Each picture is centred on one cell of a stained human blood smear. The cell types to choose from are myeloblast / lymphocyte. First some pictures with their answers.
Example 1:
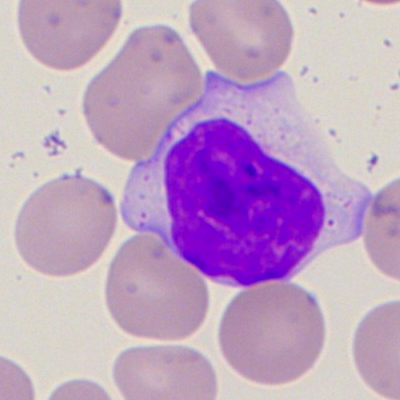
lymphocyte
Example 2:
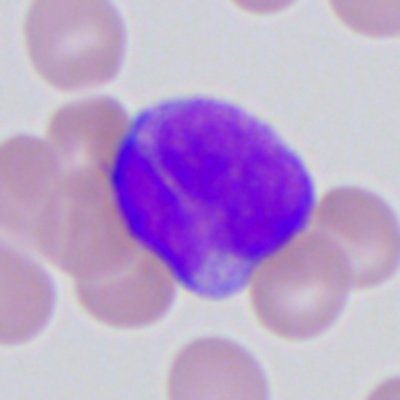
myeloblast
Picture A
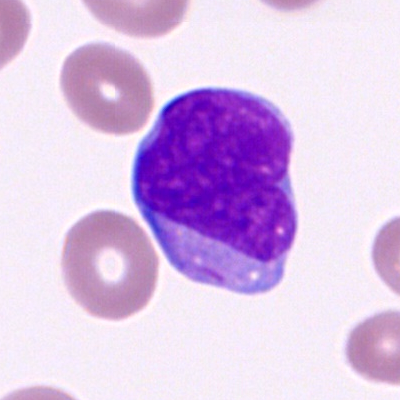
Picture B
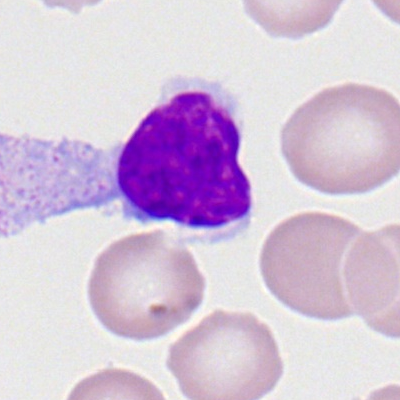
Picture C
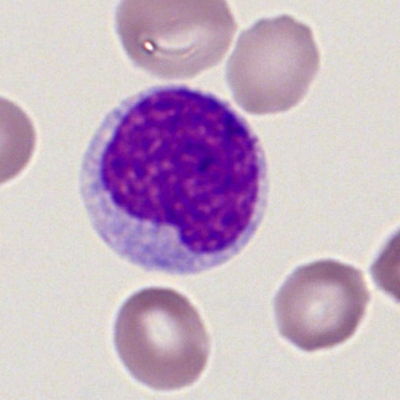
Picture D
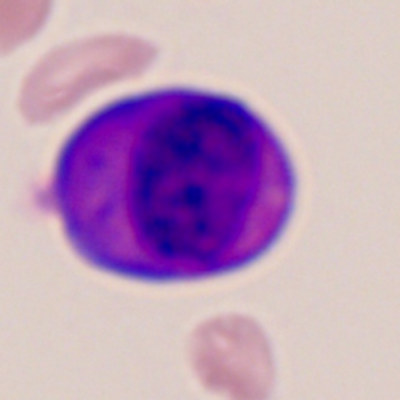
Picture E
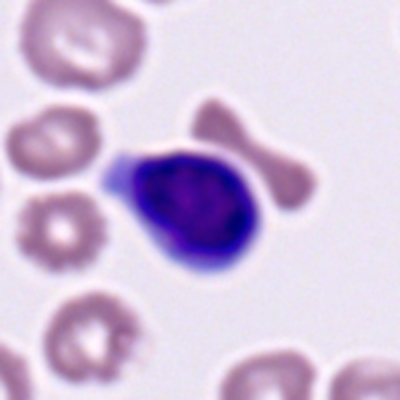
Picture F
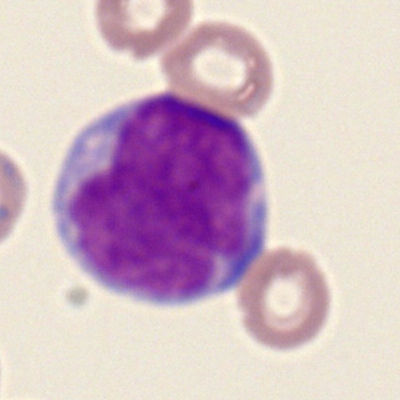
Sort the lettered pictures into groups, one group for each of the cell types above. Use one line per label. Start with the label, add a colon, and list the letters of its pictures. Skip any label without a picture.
myeloblast: A, D, F
lymphocyte: B, C, E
